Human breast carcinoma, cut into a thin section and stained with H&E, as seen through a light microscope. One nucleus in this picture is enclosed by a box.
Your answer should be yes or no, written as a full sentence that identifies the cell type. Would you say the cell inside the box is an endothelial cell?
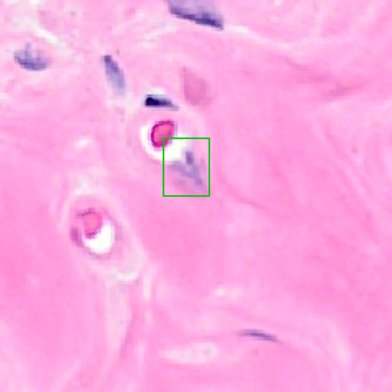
Yes, it is accurate to say that the cell inside the box is an endothelial cell.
